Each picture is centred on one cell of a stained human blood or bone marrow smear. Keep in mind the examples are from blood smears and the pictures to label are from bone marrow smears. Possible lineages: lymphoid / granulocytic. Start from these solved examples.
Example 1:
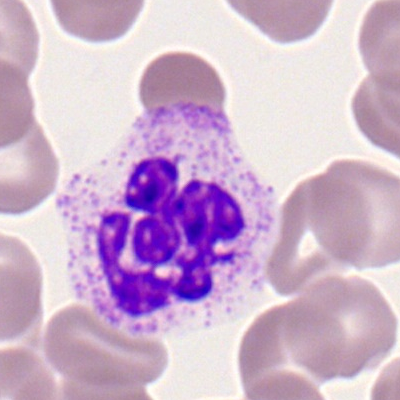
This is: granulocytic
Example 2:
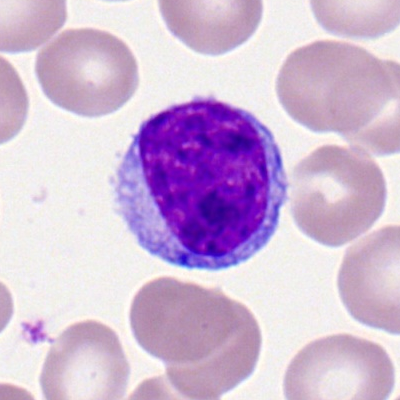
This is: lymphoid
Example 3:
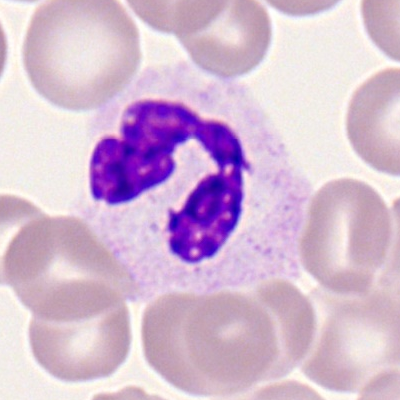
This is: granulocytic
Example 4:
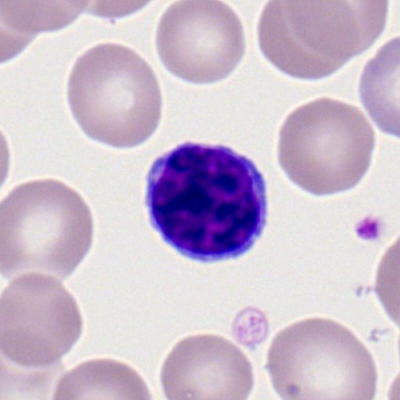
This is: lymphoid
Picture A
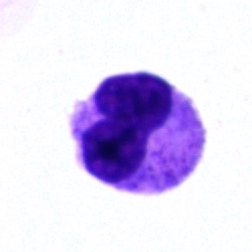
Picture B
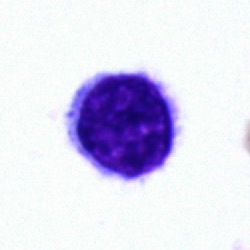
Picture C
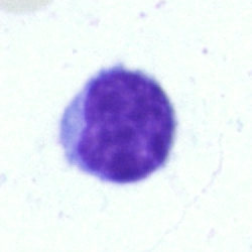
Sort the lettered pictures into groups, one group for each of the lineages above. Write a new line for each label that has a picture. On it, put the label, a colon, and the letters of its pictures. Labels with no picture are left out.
lymphoid: B, C
granulocytic: A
